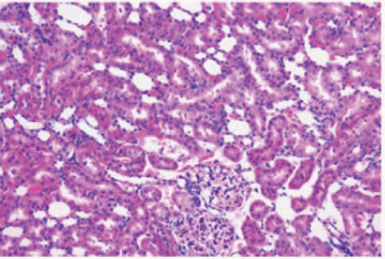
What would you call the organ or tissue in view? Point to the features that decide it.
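A rounded glomerular tuft of capillaries sits within a capsular space near the lower right. The field is packed with cross-sectioned tubules lined by pink cuboidal epithelium around open lumens.
Conclusion: kidney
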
